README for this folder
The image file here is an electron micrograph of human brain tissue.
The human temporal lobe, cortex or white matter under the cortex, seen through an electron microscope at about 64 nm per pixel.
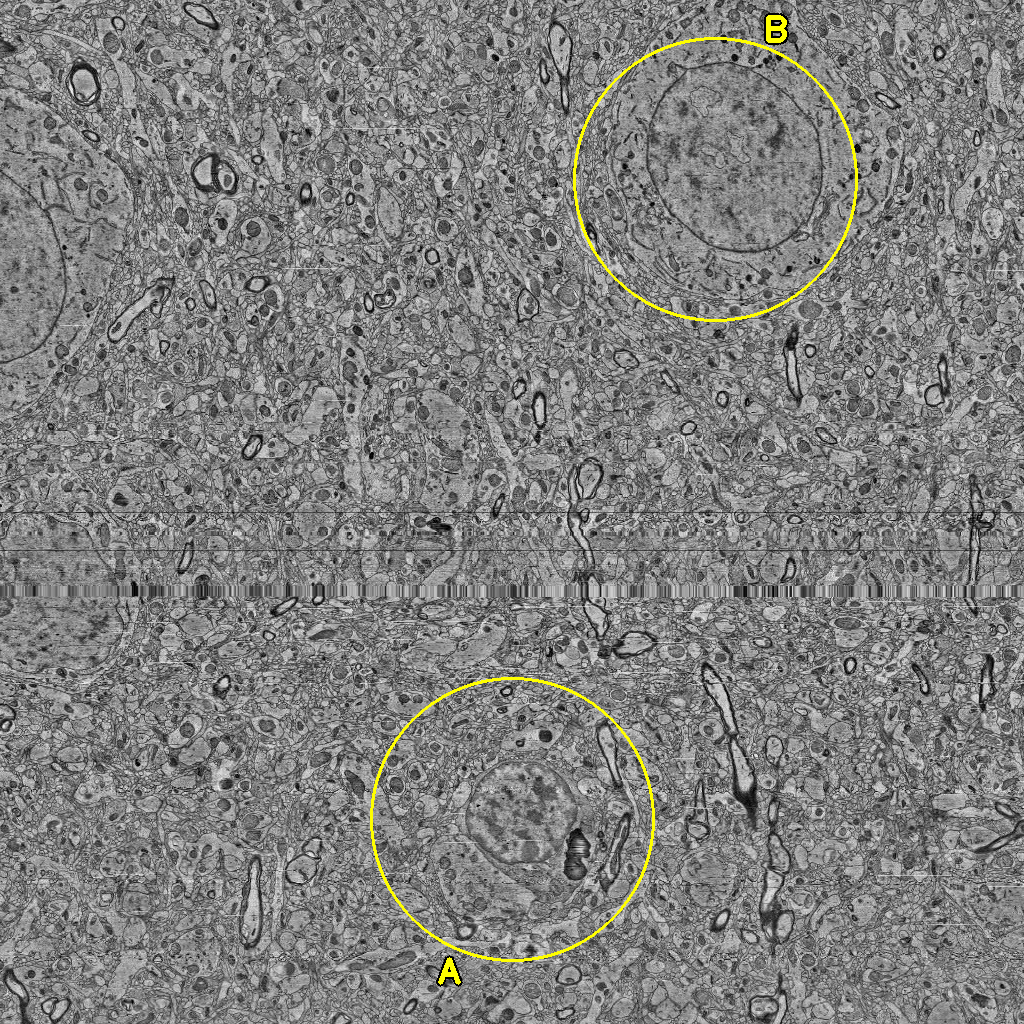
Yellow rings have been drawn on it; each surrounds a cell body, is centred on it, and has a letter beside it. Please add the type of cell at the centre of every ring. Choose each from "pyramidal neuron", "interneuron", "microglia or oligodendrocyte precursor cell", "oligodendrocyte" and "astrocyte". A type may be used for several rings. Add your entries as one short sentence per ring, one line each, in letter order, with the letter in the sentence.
Ring A marks the cell body of an oligodendrocyte.
Ring B marks the cell body of a pyramidal neuron.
